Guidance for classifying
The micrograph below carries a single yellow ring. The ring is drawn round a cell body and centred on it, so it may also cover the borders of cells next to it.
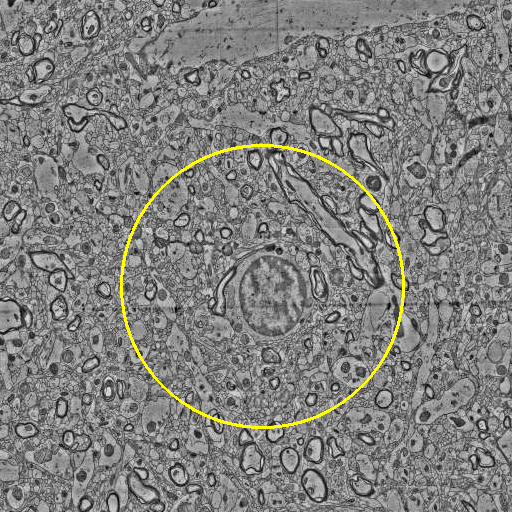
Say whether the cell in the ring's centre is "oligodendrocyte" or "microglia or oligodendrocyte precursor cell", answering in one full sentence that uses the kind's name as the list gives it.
Within the yellow ring, an oligodendrocyte is the cell whose body sits at the centre.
